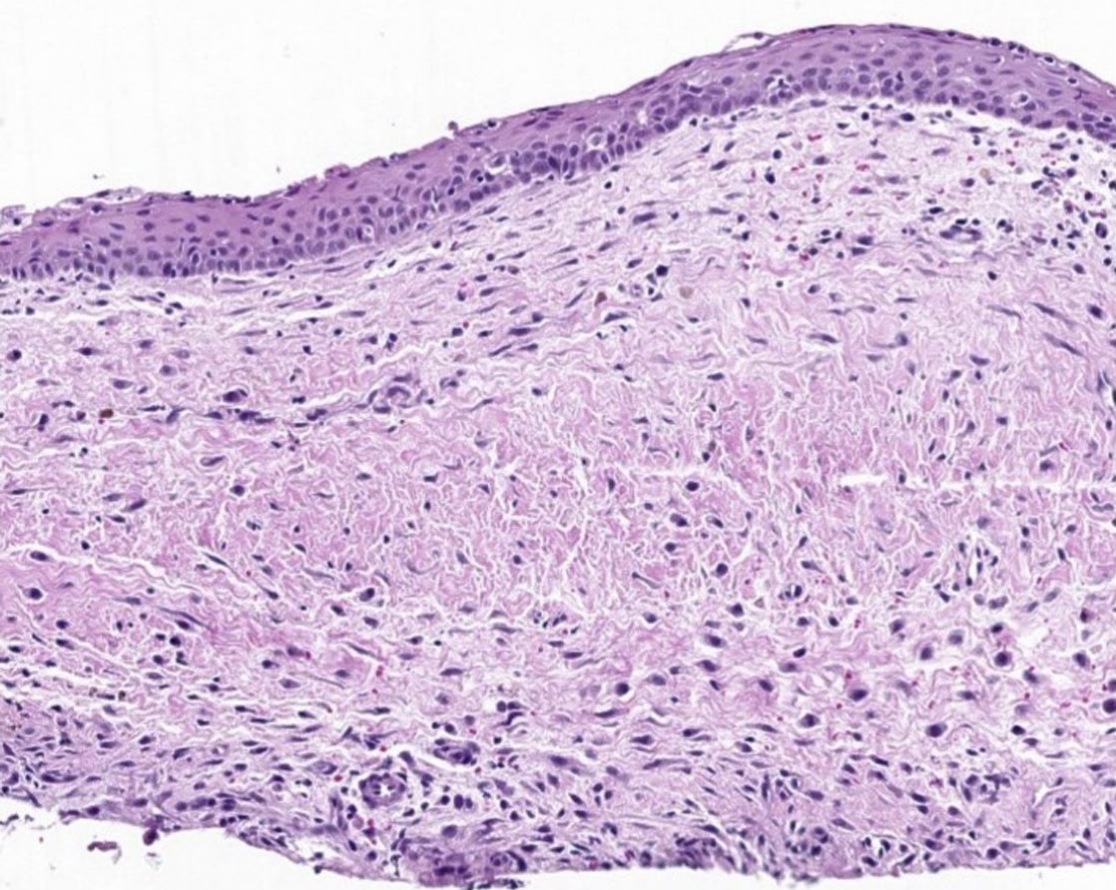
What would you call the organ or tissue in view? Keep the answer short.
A: non-keratinized stratified squamous epithelium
